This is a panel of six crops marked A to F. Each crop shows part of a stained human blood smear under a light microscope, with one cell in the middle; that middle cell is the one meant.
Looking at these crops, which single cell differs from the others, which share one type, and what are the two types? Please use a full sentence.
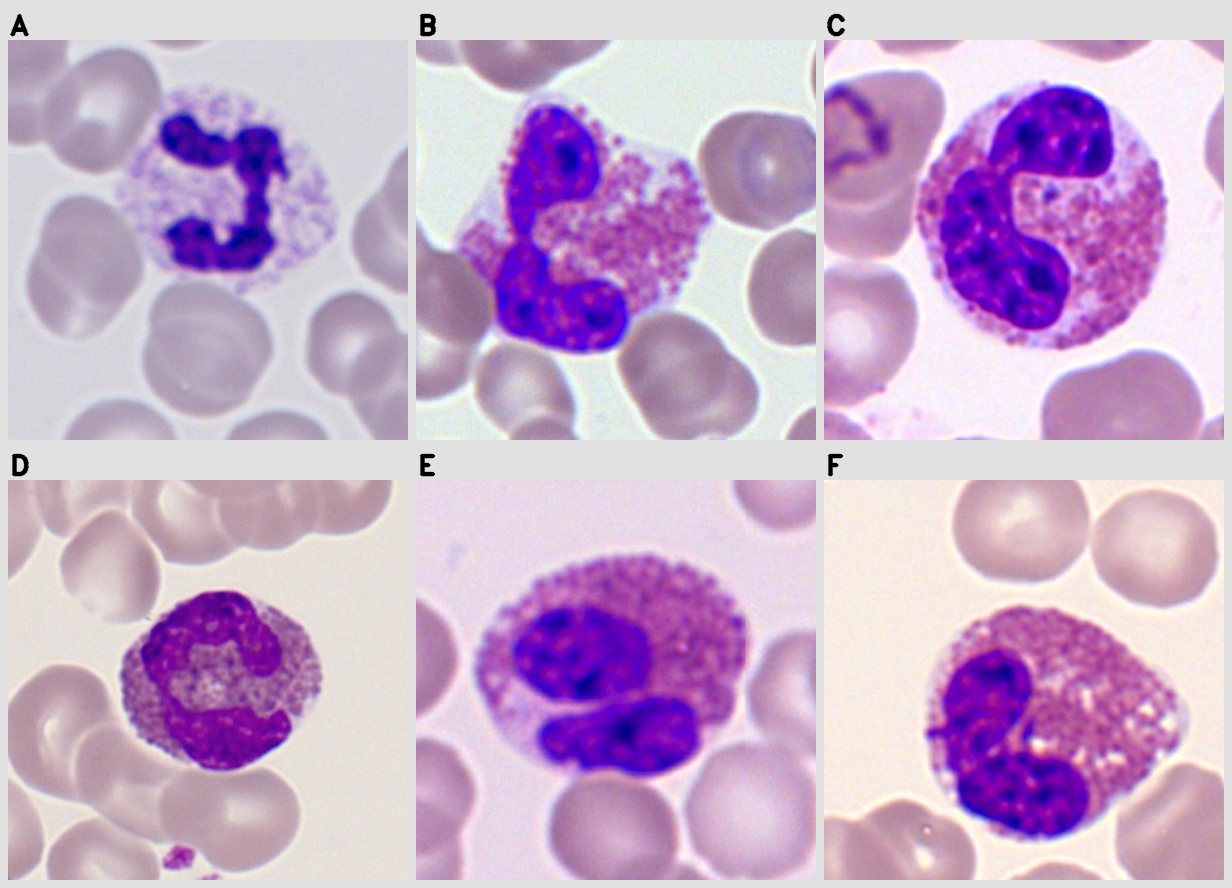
Crop A is a segmented neutrophil, while the rest of the set consists of eosinophils.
